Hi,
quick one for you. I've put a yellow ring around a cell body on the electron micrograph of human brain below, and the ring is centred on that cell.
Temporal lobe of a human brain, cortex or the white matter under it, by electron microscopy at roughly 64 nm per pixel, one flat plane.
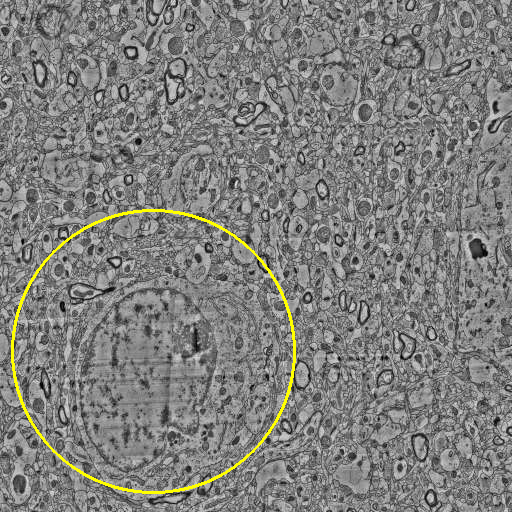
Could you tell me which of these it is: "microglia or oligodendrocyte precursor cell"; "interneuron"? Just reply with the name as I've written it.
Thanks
interneuron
